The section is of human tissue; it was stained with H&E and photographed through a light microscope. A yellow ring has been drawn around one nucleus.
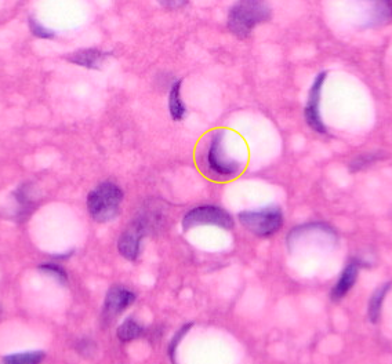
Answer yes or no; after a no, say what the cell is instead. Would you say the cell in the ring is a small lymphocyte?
No, it is a squamous epithelial cell.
